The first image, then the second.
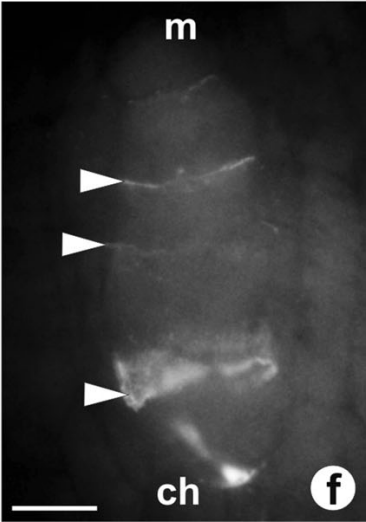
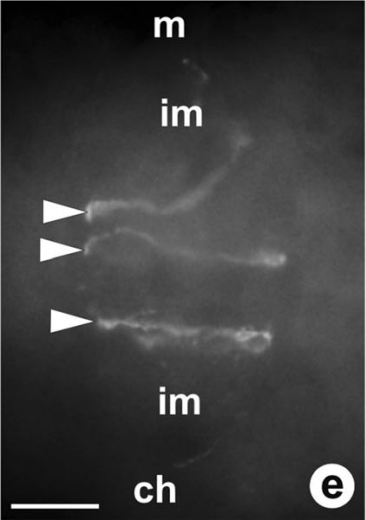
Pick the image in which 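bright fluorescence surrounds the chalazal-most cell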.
The first image.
